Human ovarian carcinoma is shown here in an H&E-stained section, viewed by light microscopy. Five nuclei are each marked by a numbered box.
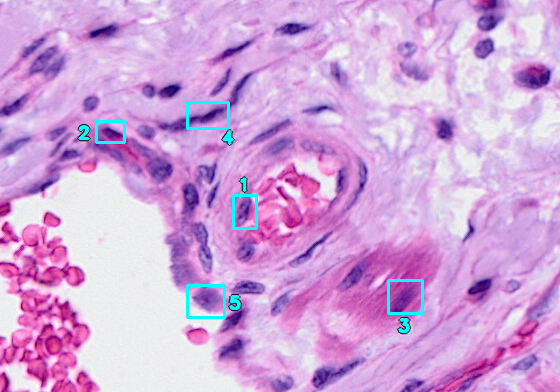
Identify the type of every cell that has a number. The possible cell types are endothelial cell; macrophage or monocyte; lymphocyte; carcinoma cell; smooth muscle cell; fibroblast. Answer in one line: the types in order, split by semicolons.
endothelial cell; endothelial cell; smooth muscle cell; fibroblast; endothelial cell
